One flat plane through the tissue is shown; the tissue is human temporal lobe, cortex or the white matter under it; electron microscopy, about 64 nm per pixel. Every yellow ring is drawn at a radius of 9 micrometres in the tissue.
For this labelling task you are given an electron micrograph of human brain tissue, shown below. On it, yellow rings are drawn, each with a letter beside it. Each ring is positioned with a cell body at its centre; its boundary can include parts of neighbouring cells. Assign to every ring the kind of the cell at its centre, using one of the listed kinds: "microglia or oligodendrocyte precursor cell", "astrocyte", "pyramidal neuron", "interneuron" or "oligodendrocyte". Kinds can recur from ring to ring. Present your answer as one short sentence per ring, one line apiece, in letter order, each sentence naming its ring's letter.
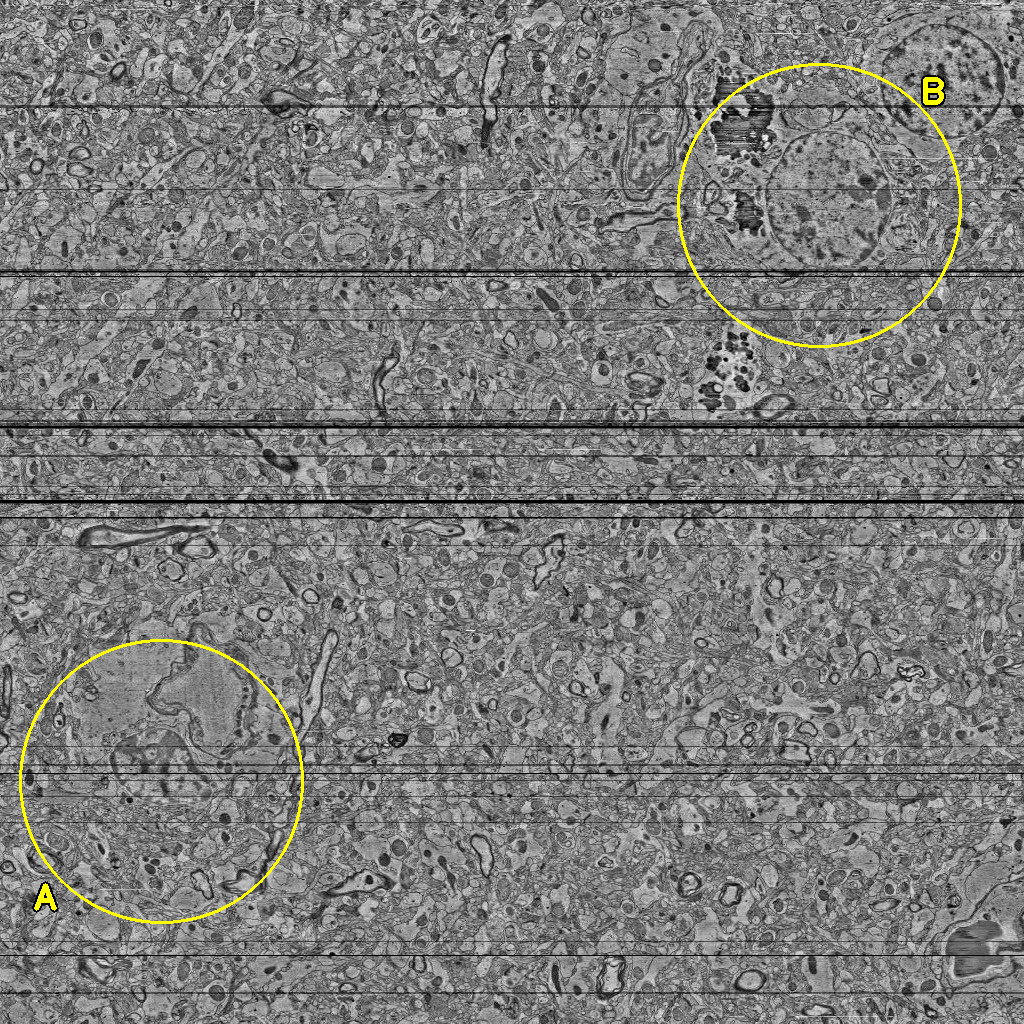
The cell in the middle of ring A is a microglial cell or oligodendrocyte precursor cell.
The cell in the middle of ring B is an astrocyte.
